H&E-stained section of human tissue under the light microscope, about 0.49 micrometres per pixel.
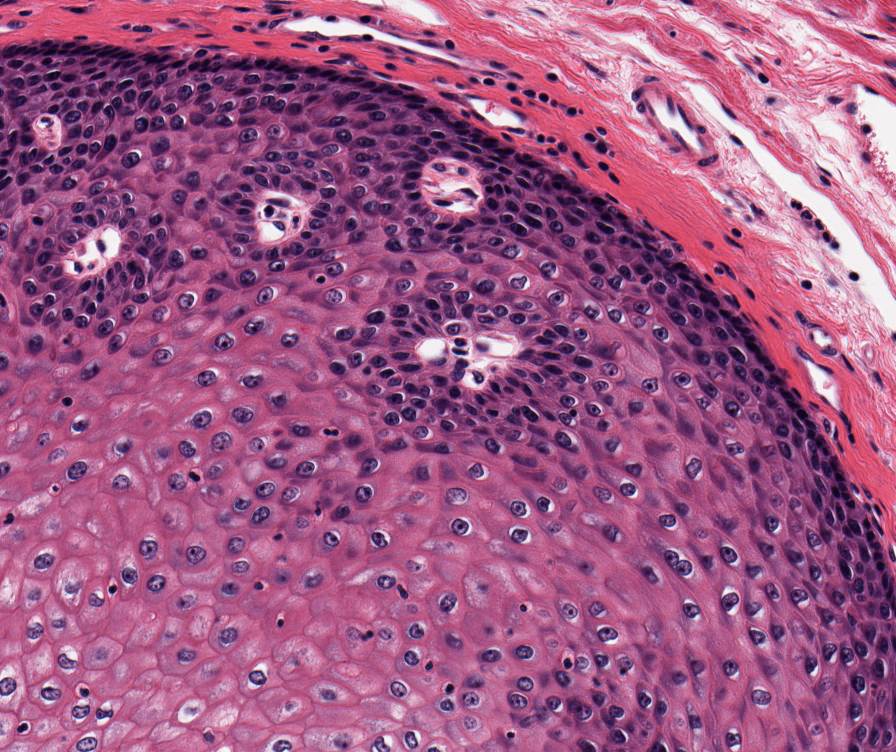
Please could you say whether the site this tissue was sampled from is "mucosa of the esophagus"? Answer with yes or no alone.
yes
